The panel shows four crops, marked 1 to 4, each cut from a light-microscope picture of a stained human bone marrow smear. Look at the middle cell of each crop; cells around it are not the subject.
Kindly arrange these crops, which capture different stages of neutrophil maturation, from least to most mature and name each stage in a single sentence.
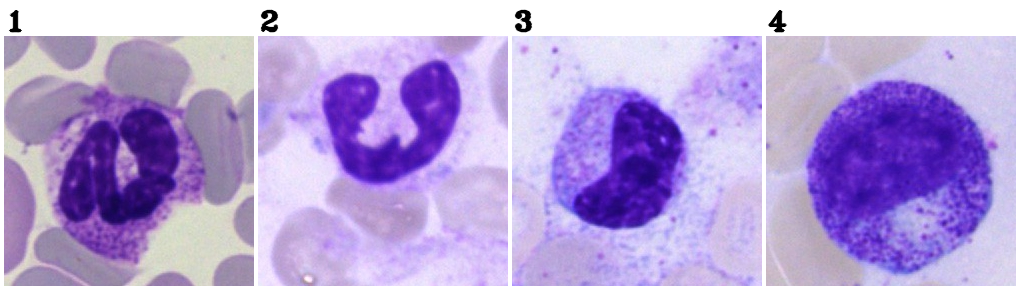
From the earliest stage to the most mature one, the order is crop 4 (a promyelocyte), crop 3 (a metamyelocyte), crop 2 (a band neutrophil) and crop 1 (a segmented neutrophil).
